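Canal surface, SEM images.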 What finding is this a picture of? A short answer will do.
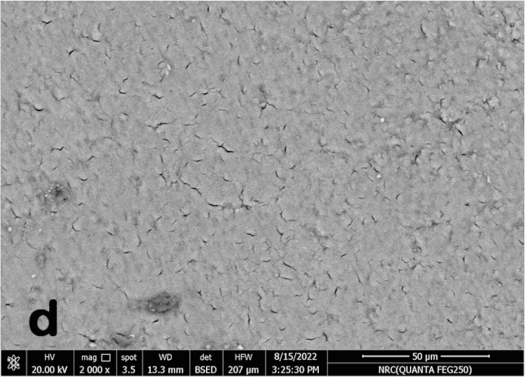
homogeneous smear layer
